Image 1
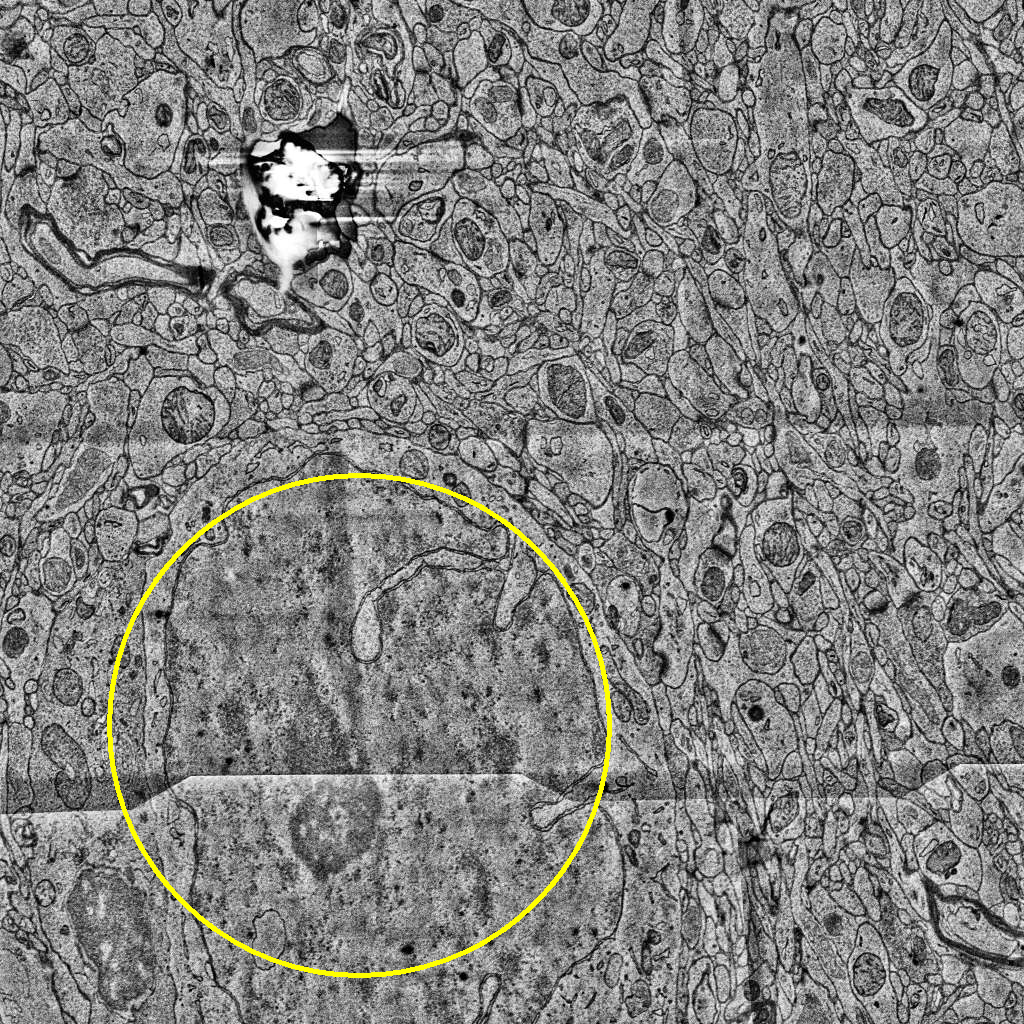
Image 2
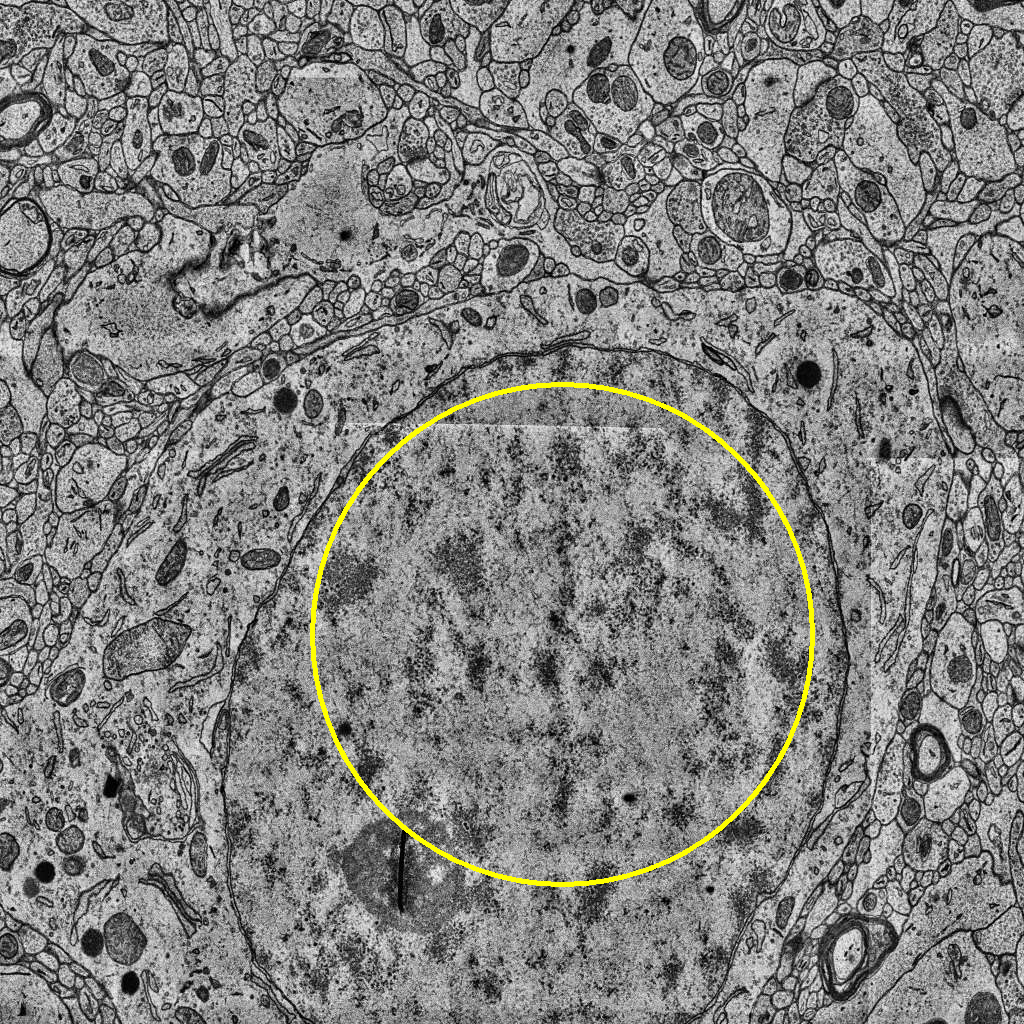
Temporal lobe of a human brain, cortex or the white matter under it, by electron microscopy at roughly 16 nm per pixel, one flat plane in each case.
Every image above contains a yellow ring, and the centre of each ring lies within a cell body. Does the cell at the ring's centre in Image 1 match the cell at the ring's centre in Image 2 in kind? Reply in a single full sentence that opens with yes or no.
Yes, the cell at the ring's centre in Image 1 is the same kind as that in Image 2.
